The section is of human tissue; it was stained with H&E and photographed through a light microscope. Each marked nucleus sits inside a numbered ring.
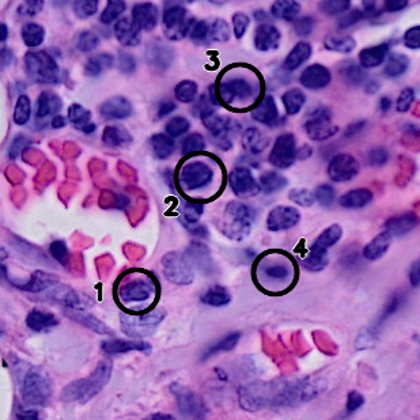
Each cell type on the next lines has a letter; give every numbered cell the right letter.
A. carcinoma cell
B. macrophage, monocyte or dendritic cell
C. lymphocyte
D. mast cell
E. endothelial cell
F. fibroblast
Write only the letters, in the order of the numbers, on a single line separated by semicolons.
E; C; C; C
